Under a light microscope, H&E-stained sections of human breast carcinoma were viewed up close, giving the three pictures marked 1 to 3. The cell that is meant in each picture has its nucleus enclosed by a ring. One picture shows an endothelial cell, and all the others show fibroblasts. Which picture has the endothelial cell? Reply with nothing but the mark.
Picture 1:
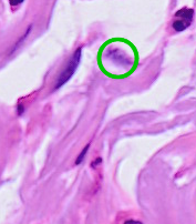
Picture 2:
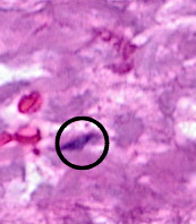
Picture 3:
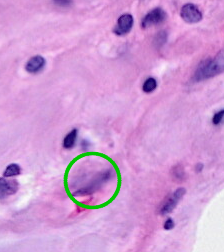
3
